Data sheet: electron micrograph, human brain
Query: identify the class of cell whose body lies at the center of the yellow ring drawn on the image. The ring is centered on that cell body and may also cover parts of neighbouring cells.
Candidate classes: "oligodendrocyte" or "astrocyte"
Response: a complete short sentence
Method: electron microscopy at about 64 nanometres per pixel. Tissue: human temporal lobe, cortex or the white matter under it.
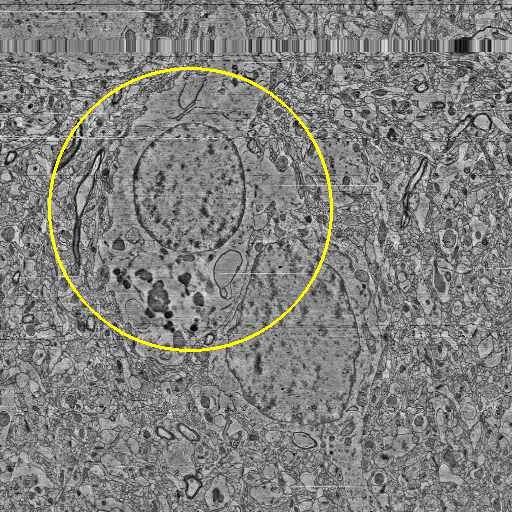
At the center of the ring lies an astrocyte.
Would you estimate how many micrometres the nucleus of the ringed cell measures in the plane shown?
In this plane, approximately 9 by 7 micrometers.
